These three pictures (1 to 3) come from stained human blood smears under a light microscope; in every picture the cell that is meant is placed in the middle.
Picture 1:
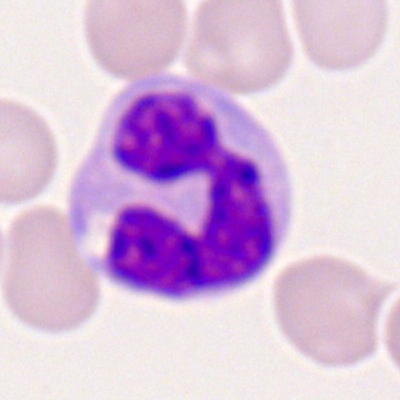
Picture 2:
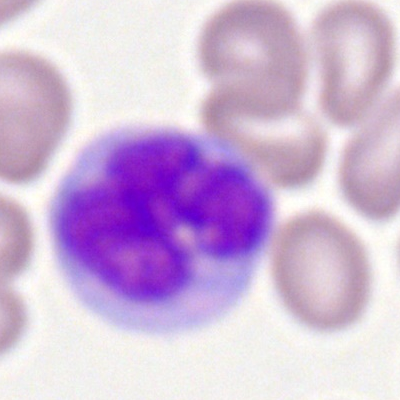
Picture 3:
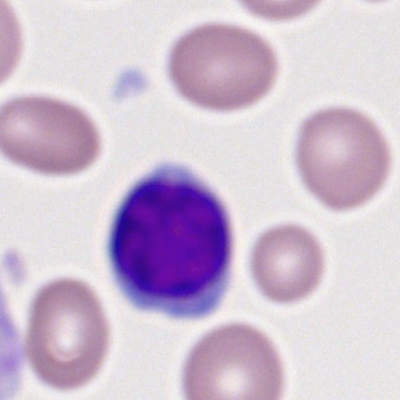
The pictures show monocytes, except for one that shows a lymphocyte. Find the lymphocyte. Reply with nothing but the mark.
3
